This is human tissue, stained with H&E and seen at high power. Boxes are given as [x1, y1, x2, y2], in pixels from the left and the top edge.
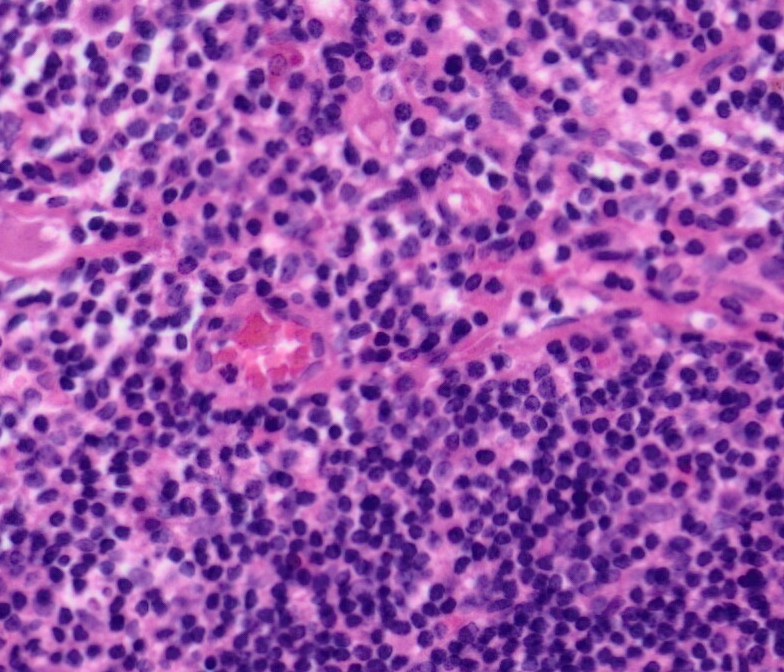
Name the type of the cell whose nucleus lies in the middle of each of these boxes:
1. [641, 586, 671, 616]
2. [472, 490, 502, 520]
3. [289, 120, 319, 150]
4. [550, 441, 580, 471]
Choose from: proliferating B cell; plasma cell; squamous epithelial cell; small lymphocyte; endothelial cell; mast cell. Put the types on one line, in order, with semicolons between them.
small lymphocyte; small lymphocyte; plasma cell; small lymphocyte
